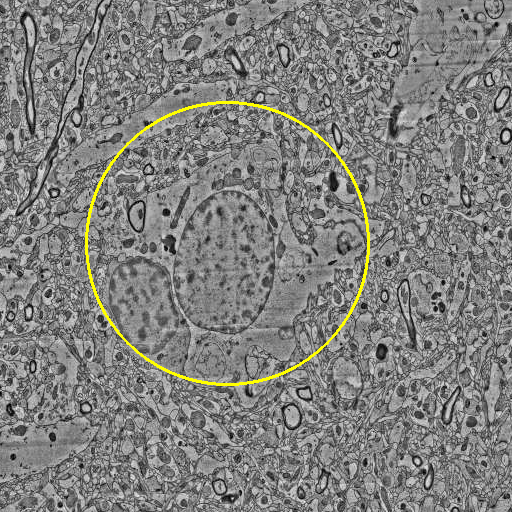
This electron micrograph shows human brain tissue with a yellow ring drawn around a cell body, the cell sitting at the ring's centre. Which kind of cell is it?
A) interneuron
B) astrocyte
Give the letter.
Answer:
B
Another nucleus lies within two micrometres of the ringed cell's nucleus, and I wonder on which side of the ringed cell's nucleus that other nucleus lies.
The other nucleus is located to the left of it.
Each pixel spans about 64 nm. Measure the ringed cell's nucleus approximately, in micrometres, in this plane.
Approximately 9 x 7 micrometres in this plane.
